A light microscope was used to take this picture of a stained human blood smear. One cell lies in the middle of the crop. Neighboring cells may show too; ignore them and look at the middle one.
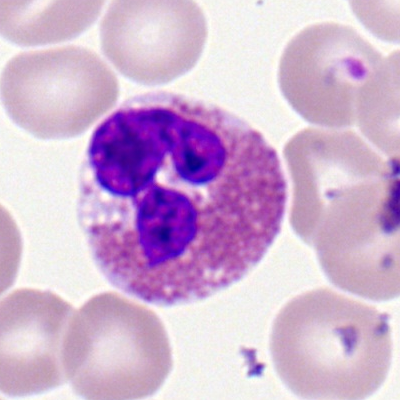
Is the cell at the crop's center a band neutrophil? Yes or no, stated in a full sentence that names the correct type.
No, the cell located centrally is an eosinophil rather than a band neutrophil.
